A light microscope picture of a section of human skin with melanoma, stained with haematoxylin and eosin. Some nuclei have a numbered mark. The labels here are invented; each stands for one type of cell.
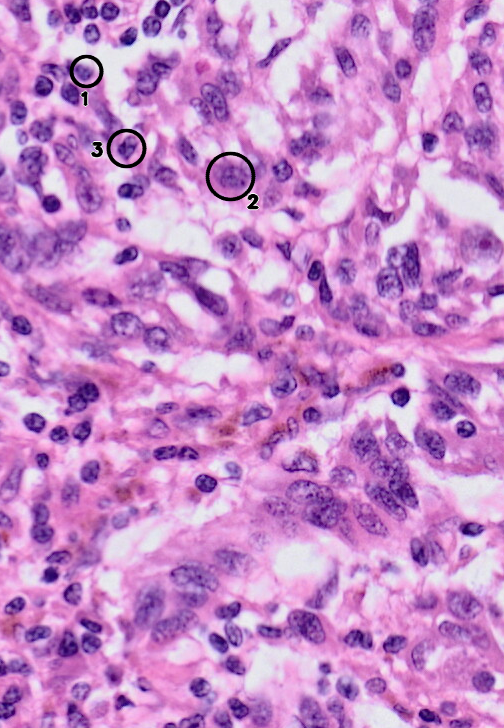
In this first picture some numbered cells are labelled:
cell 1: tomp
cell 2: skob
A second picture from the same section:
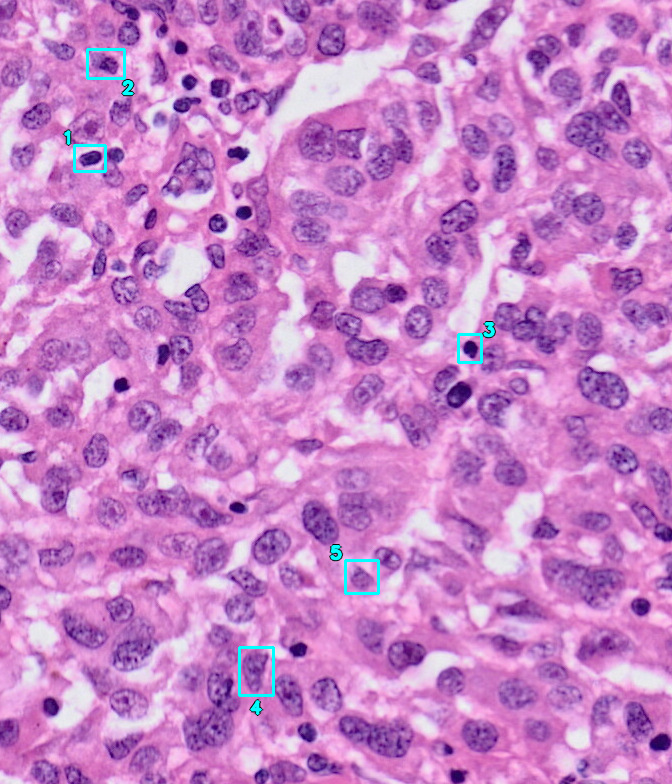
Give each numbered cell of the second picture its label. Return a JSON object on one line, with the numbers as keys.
{"1": "tomp", "2": "skob", "3": "tomp", "4": "skob", "5": "skob"}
